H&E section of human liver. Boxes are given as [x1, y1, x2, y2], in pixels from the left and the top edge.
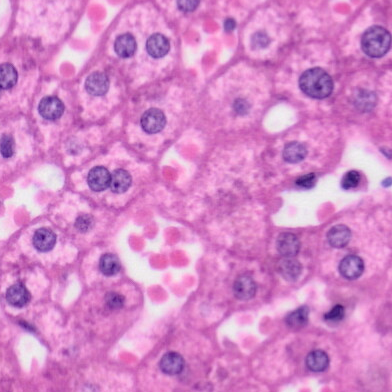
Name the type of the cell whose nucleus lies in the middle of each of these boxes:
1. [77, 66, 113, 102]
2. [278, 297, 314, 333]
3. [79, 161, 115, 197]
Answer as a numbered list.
1. hepatocyte
2. Kupffer cell
3. hepatocyte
